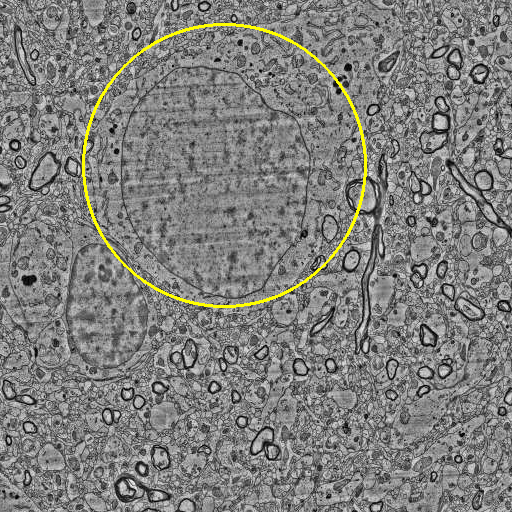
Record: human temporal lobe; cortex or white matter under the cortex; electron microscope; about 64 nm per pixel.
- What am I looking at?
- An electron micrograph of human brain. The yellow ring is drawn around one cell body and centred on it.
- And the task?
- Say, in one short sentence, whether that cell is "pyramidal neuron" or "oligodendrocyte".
The cell in the middle of the ring is a pyramidal neuron.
